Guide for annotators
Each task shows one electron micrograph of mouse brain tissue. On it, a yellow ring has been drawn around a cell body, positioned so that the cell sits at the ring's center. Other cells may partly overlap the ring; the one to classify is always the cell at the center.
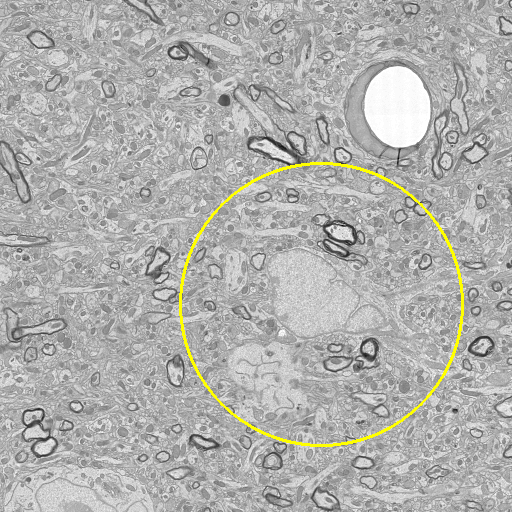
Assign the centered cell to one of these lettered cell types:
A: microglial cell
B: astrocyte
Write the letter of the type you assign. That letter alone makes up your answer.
B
